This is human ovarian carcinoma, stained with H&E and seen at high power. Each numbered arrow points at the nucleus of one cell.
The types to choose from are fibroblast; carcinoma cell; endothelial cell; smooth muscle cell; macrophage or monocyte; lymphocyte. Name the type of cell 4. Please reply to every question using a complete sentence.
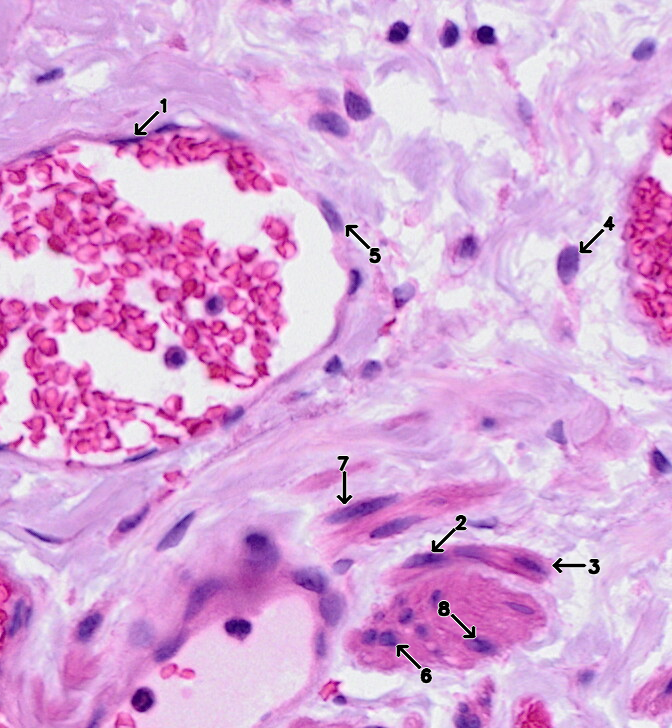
As for number 4, that cell is a fibroblast.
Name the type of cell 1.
The cell pointed out as number 1 is an endothelial cell.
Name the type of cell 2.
The cell identified by the number 2 is a smooth muscle cell.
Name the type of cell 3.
The one numbered 3 among the marked cells is a smooth muscle cell.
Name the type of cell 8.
Numbered cell 8 is a smooth muscle cell in this tissue section.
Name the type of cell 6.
Cell 6 in the field is a smooth muscle cell.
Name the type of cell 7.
Denoted by the label 7 in the section is a smooth muscle cell.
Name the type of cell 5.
The cell marked with the number 5 is an endothelial cell.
